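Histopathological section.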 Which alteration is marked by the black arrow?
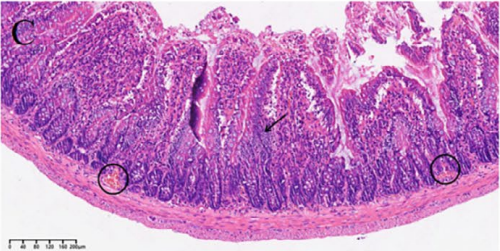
Inflammatory cell infiltration.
